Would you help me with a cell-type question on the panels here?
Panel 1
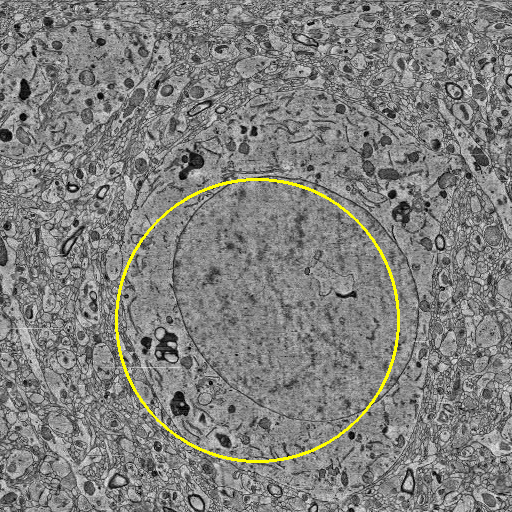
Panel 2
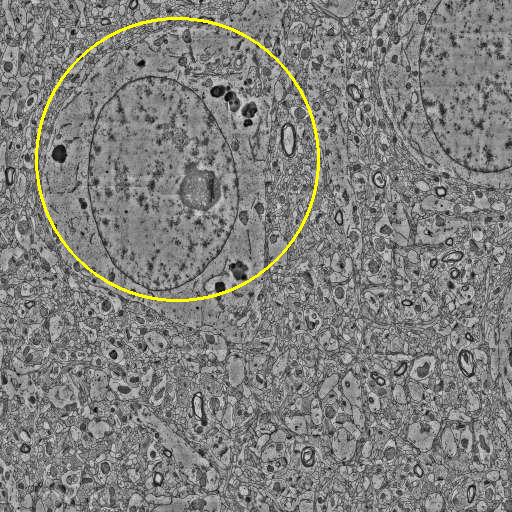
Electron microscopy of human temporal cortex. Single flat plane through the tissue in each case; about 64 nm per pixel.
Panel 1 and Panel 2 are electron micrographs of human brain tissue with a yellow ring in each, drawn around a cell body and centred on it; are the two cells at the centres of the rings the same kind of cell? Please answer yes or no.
yes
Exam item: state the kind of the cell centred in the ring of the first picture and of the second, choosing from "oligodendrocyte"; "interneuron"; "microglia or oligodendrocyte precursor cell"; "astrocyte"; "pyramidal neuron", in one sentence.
The second cell is a pyramidal neuron, just as the first is.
